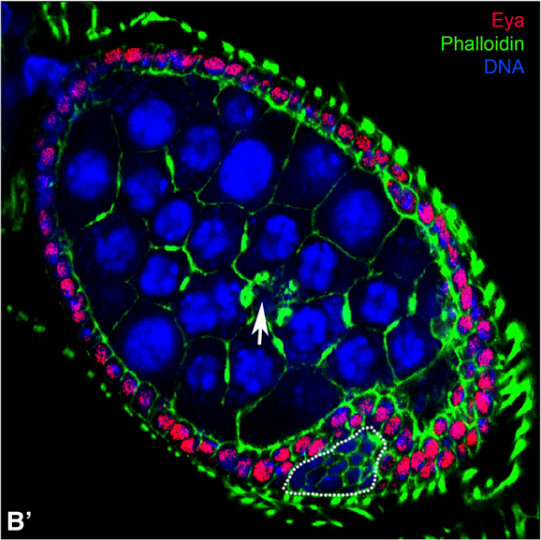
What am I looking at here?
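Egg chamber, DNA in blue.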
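A continuous layer of small follicle cells with red-and-blue nuclei surrounds the cyst. At the lower pole, a dotted outline encloses a sizeable patch of cells whose nuclei lack the red signal, many more than the one or two usually found there as polar cells. In the middle of the cyst, an arrow marks the oocyte, where several bright green ring canals gather. Outside the follicle layer, bright green strands of the surrounding sheath are visible.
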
